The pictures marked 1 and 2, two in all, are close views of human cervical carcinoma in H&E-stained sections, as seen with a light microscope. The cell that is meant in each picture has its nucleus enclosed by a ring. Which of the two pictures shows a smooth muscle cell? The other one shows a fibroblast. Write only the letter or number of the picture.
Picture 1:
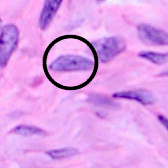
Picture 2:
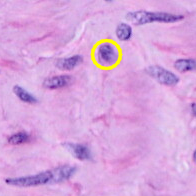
2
